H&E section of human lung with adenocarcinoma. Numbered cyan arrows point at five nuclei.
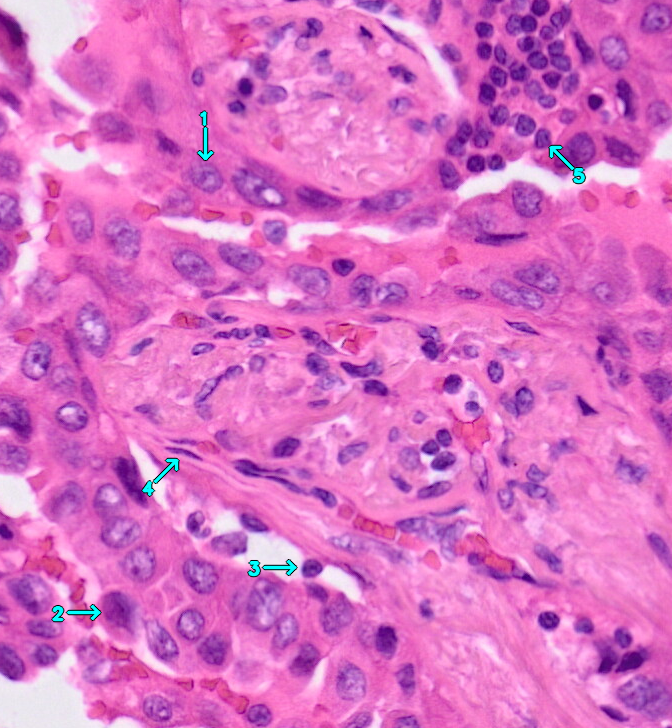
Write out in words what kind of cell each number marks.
Cell 1 is a carcinoma cell, cell 2 is a carcinoma cell, cell 3 is a lymphocyte, cell 4 is a fibroblast and cell 5 is a lymphocyte.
